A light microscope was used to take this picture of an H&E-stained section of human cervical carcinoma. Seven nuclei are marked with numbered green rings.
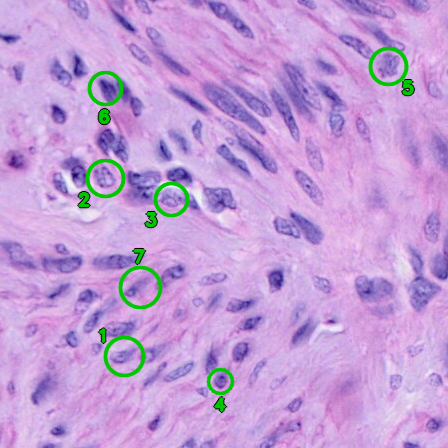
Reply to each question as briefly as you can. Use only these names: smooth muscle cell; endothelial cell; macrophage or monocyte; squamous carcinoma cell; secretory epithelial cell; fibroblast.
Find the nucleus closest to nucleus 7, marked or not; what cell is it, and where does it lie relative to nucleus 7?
a smooth muscle cell; to the right of nucleus 7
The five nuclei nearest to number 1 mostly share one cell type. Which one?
smooth muscle cell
